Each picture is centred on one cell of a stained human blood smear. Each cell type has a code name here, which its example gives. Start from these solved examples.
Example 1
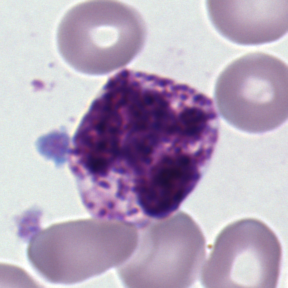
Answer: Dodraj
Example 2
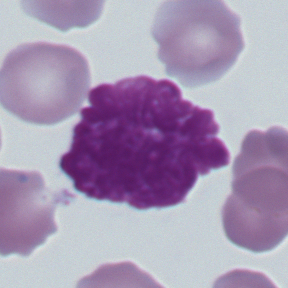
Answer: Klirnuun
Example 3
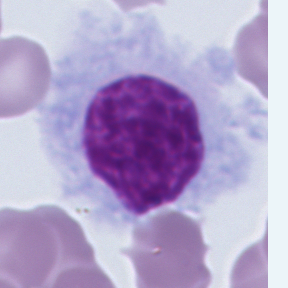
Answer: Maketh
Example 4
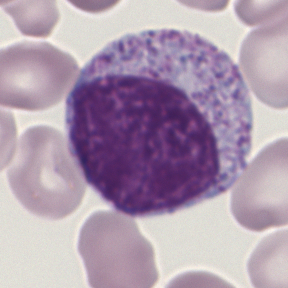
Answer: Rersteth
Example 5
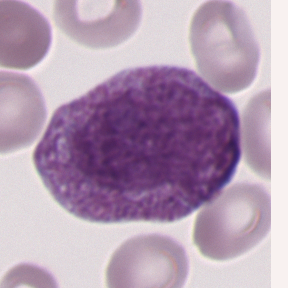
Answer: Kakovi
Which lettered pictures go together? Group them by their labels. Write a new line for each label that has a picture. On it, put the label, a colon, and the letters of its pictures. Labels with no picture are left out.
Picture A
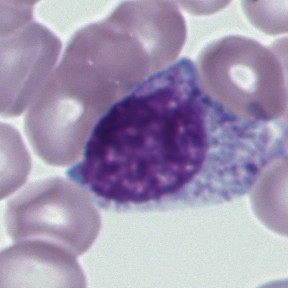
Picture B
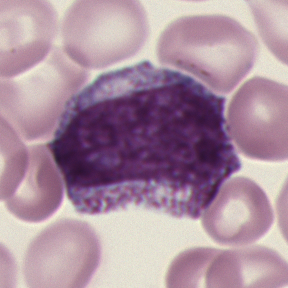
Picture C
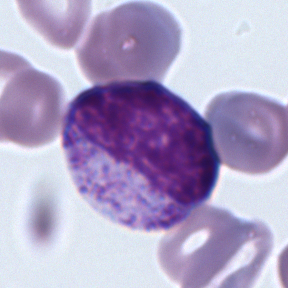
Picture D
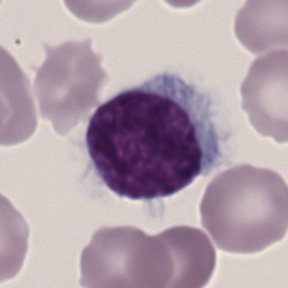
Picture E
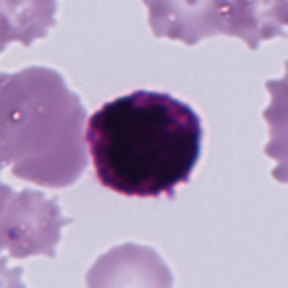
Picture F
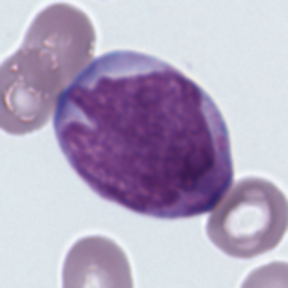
Dodraj: E
Maketh: D
Rersteth: A, B, C
Kakovi: F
